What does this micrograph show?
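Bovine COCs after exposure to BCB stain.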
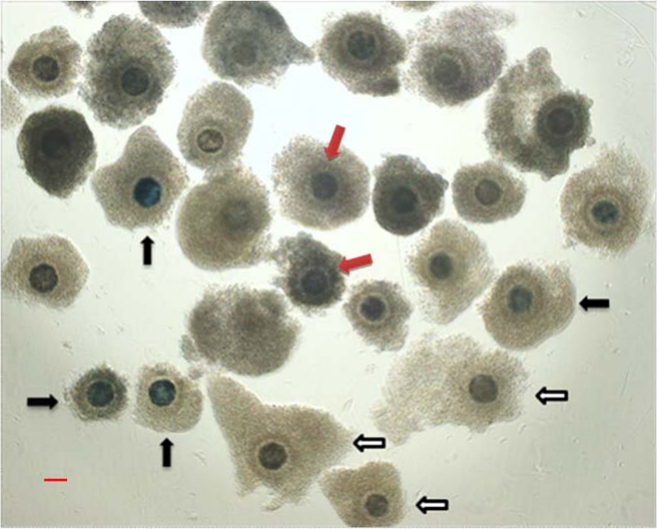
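The cumulus investment varies: some complexes have a compact, dark, several-layered covering, and others have a lighter, expanded, irregular halo. In some oocytes the cytoplasm is tinged blue. In others it is grey-brown without any blue.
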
